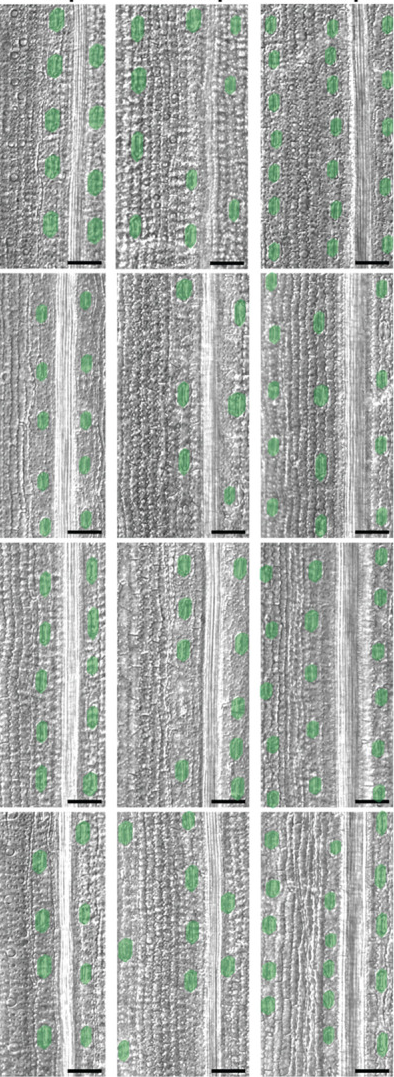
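Between the stomatal rows the surface has a textured, bumpy relief of rows of small rounded outgrowths. In many views a smooth, finely striated longitudinal band lies to one side of the stomatal rows. The number and spacing of stomata differ somewhat between views.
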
